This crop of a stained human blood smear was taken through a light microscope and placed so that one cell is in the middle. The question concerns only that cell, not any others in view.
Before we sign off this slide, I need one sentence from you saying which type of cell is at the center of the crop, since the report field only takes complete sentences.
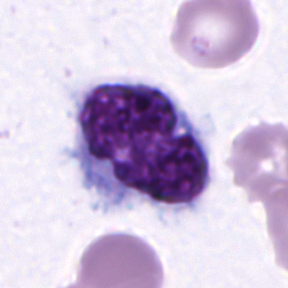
As for the cell in the middle, it is a plasma cell.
